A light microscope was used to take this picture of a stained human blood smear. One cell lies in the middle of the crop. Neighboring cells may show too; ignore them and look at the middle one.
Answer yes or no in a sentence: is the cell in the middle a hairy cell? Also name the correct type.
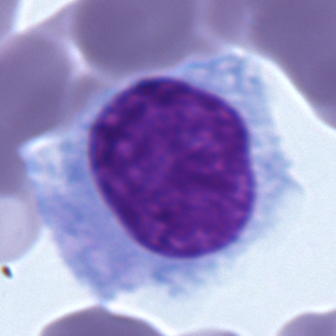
Yes, it is a hairy cell that occupies the centre of the crop.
